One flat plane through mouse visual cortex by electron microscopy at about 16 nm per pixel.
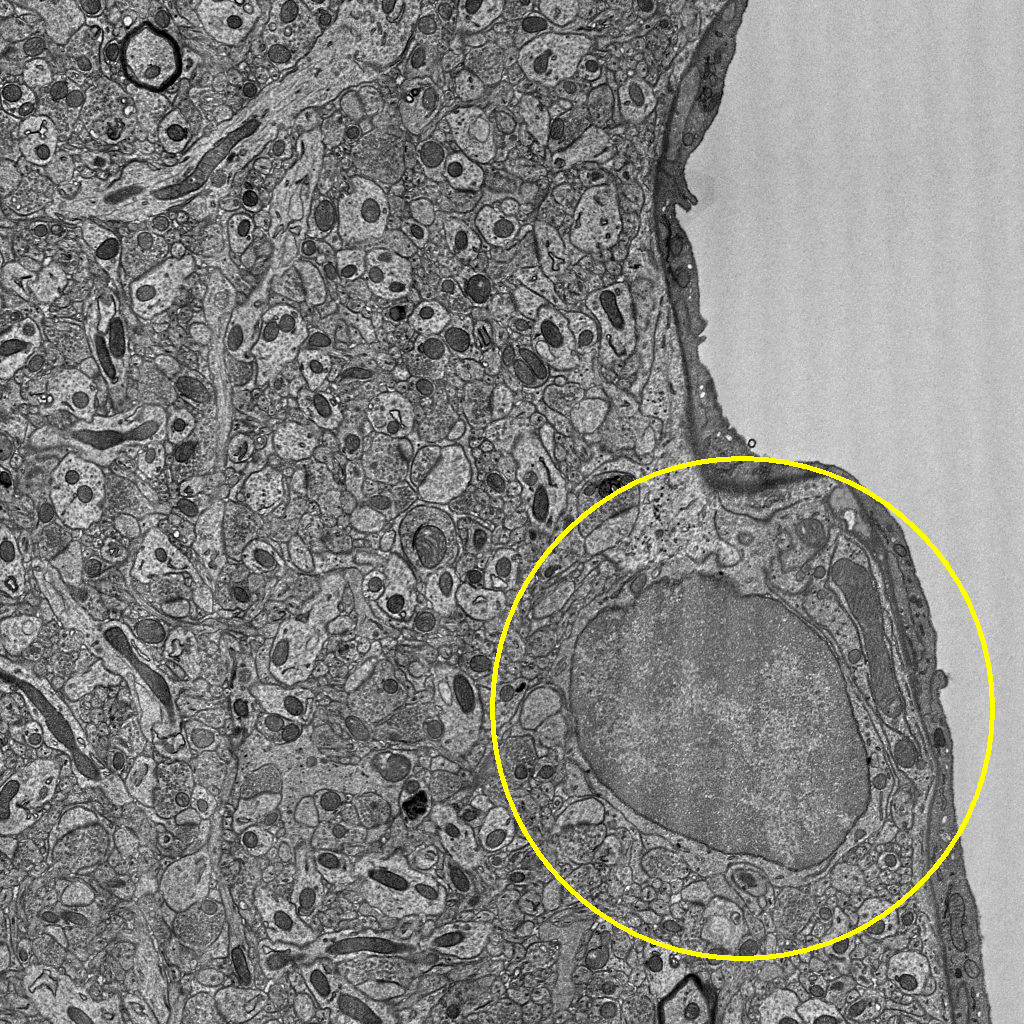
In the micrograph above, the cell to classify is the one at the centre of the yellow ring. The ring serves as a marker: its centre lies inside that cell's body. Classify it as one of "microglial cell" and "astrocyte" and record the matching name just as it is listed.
microglial cell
